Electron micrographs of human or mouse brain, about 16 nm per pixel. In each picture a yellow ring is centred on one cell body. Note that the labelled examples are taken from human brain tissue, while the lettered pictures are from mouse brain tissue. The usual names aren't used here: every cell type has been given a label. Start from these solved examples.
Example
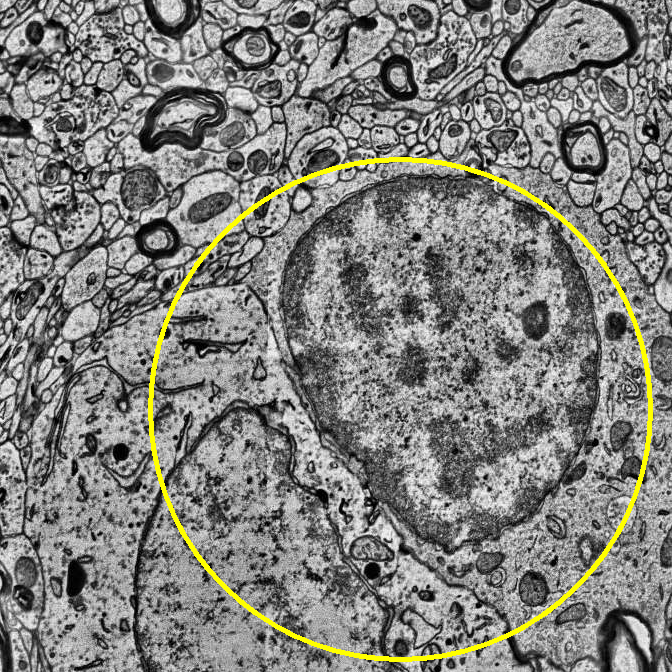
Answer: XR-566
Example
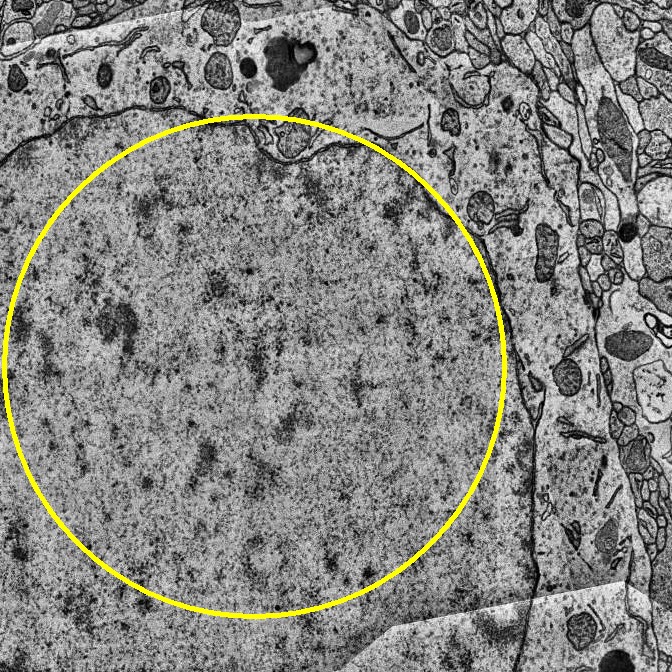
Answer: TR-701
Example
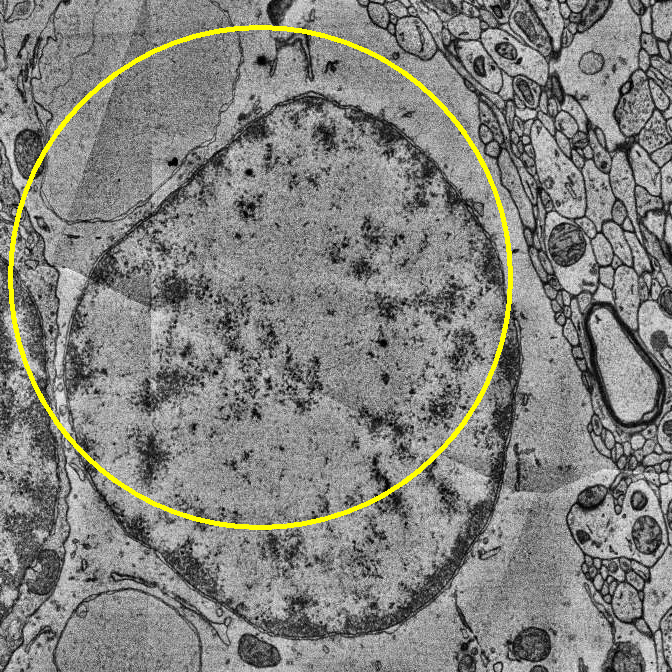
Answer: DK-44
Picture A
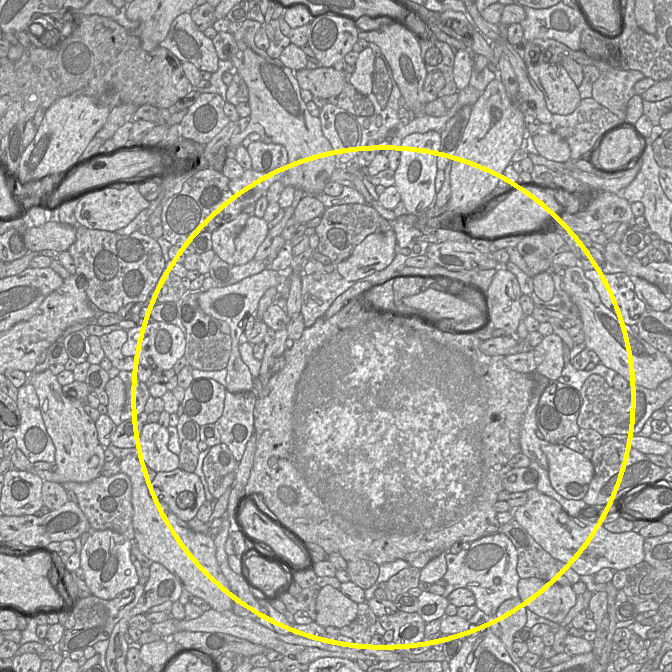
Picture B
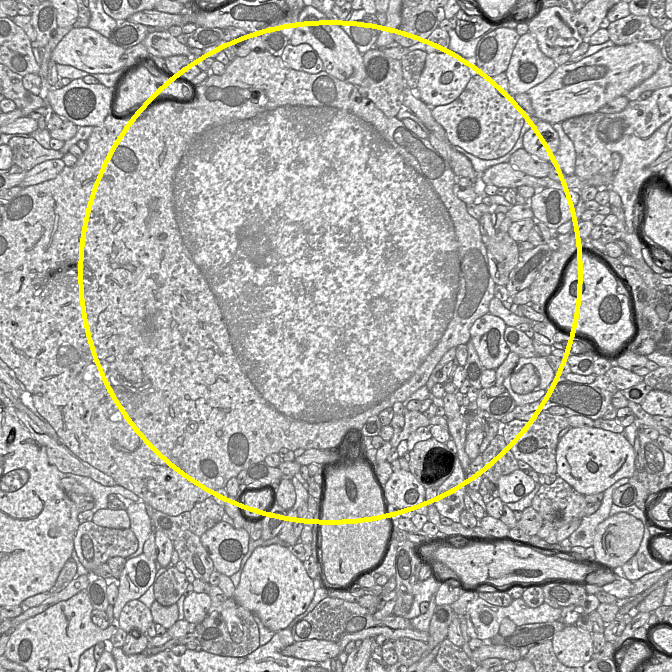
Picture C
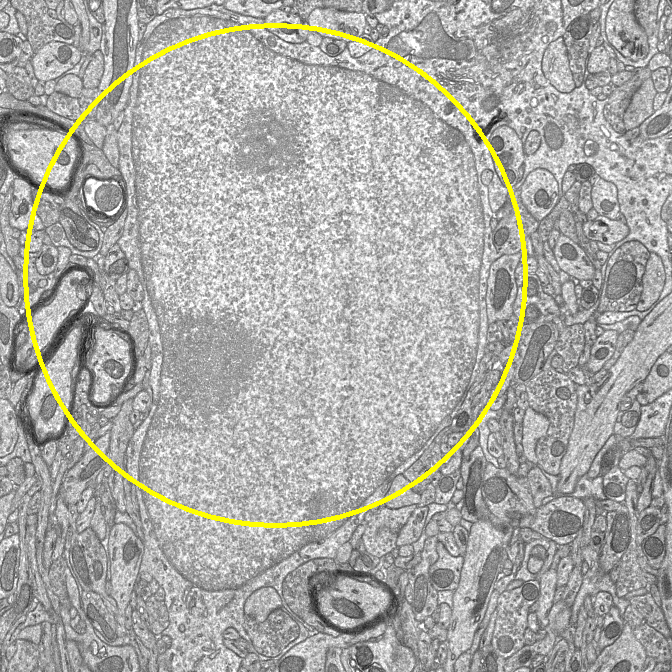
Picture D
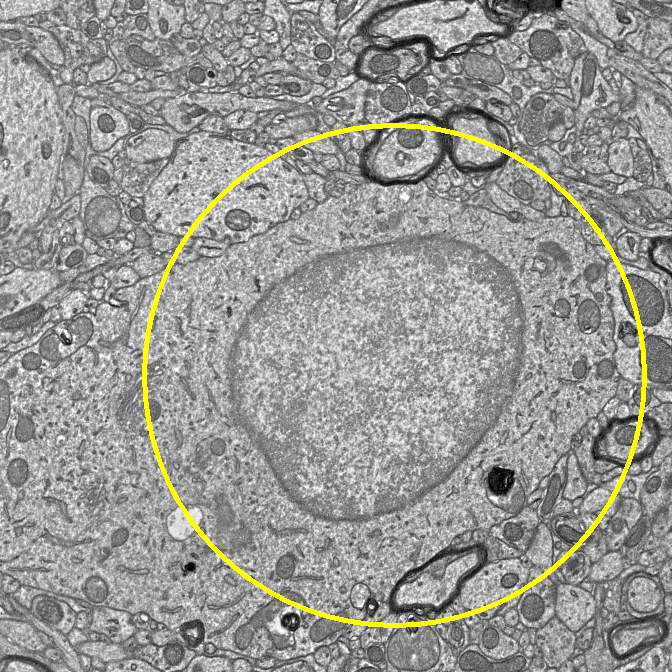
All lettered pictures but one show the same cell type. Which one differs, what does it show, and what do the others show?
C differs and shows DK-44; the others show XR-566.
